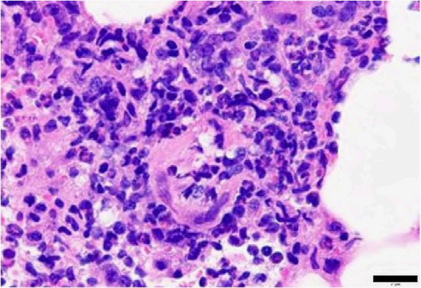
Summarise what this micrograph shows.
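This is a small artery buried in a dense perivascular infiltrate of inflammatory cells. The vessel near the lower centre has an irregular, thick pink wall, and its lumen is partly filled with cells rather than open. All around it, the tissue is packed with small cells with round, dark purple nuclei and little cytoplasm, obscuring the normal architecture. Only at the edges do open clear spaces remain.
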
